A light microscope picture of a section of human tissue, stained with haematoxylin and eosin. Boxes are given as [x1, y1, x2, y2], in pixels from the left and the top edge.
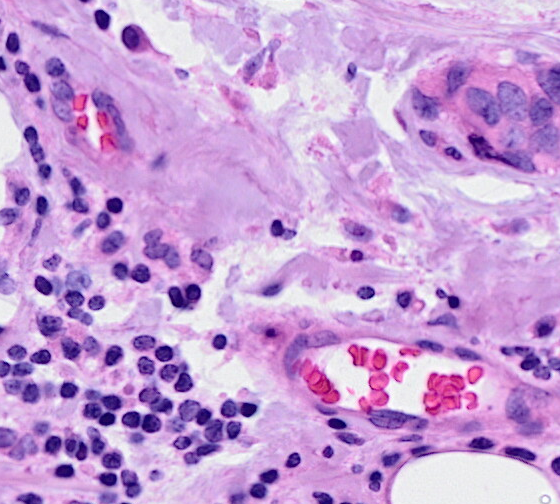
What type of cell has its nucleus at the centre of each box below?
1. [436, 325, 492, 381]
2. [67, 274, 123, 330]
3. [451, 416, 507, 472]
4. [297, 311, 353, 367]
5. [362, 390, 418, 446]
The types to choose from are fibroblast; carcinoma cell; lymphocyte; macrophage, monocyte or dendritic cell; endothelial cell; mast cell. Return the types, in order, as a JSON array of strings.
["endothelial cell", "lymphocyte", "lymphocyte", "endothelial cell", "endothelial cell"]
